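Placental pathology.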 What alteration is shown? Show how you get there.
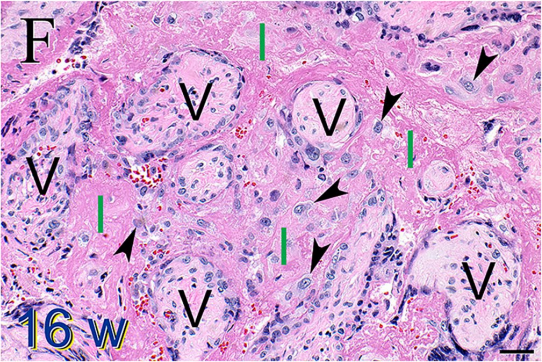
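Massive perivillous fibrin. Small villi are surrounded on all sides by dense pink homogeneous material. Little free blood space remains between the villi.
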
